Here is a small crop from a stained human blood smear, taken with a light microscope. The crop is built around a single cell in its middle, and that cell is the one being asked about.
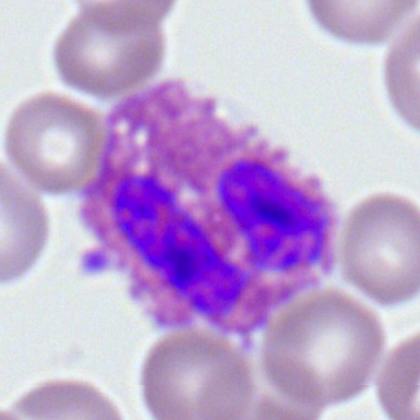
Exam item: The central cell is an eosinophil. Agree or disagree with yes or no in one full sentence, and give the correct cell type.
Yes, in the middle of the crop is an eosinophil.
